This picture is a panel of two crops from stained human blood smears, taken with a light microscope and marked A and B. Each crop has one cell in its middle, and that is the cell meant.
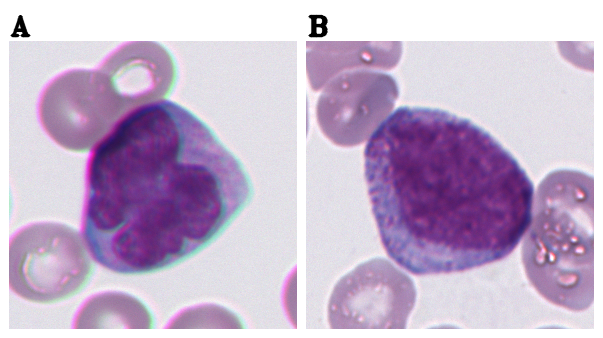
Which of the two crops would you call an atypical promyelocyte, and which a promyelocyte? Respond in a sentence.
For crop A the cell is an atypical promyelocyte, and for crop B it is a promyelocyte.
